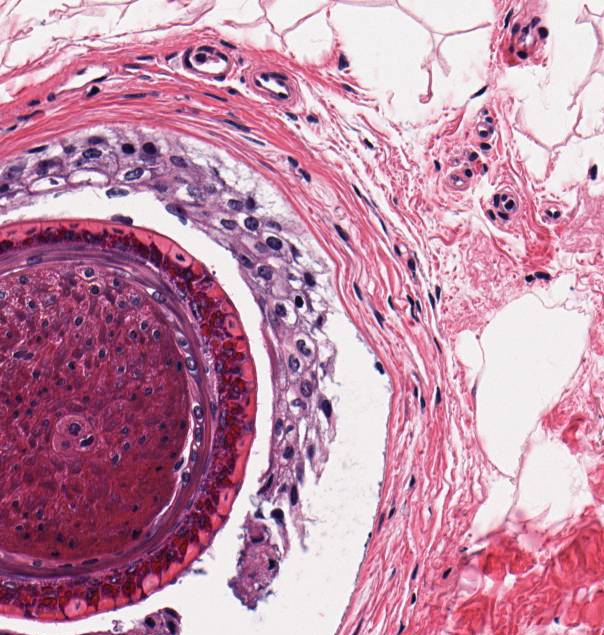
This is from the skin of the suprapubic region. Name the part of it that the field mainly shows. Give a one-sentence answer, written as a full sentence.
The tissue component on view in this section is named hair follicle.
